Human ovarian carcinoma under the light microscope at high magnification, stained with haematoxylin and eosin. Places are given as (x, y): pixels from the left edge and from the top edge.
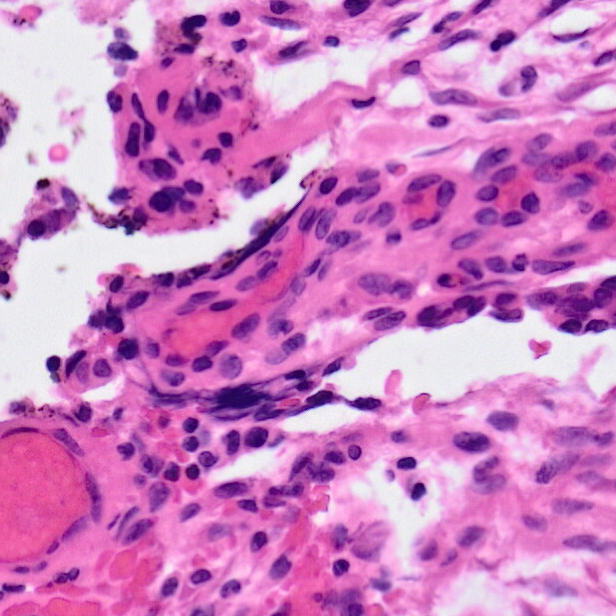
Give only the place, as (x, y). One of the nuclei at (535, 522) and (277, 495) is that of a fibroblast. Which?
(535, 522)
